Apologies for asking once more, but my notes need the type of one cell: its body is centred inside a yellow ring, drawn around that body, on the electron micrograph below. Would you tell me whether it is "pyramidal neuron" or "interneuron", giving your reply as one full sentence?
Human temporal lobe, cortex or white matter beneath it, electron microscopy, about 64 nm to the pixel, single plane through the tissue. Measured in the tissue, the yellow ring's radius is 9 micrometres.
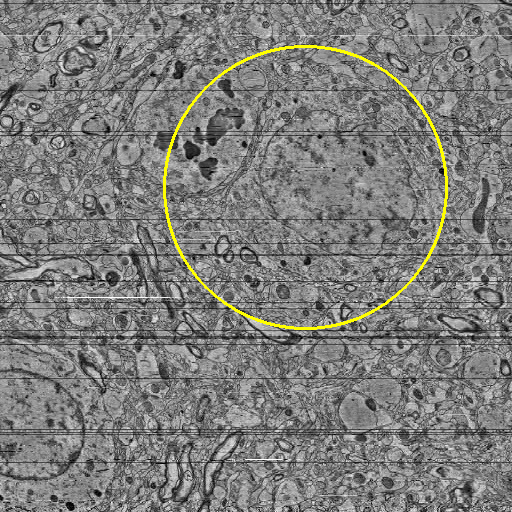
The cell that the yellow ring is centred on is an interneuron in this micrograph.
